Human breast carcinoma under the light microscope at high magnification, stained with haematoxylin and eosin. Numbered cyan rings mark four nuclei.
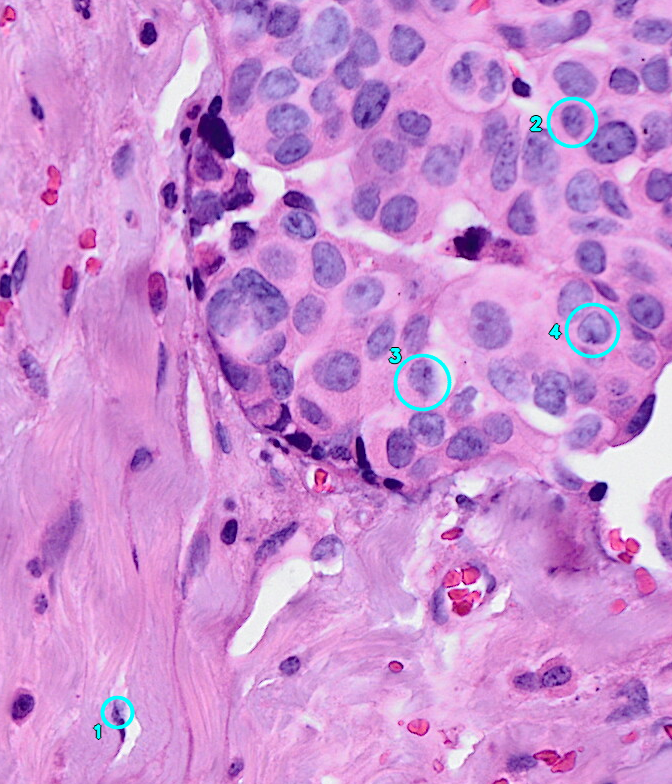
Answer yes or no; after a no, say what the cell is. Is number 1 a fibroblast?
Yes.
